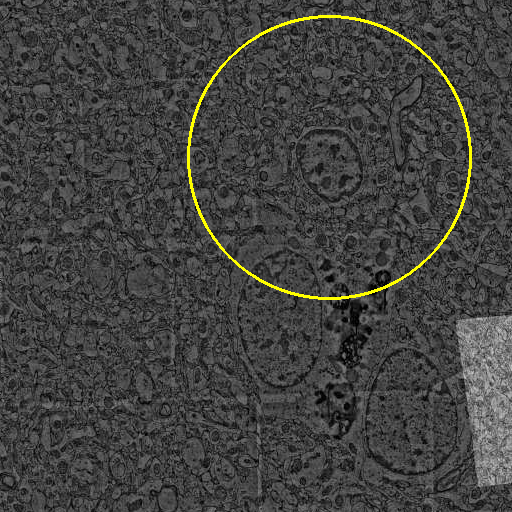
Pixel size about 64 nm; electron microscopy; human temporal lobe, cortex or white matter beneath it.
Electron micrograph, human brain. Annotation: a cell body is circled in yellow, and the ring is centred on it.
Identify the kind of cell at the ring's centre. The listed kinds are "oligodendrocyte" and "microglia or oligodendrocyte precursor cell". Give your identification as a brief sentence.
The circled cell body is that of a microglial cell or oligodendrocyte precursor cell.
